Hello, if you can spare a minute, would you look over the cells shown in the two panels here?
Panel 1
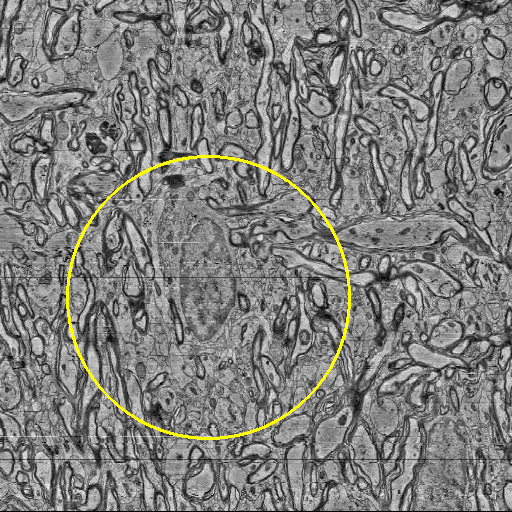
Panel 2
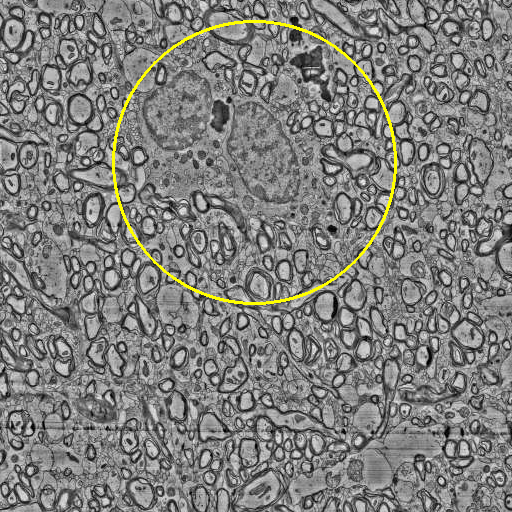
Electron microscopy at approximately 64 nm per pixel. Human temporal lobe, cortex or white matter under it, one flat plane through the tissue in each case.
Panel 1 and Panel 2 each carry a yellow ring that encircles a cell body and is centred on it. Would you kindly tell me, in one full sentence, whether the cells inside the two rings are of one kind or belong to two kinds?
The cells at the centres of the rings in Panel 1 and Panel 2 are of one kind.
